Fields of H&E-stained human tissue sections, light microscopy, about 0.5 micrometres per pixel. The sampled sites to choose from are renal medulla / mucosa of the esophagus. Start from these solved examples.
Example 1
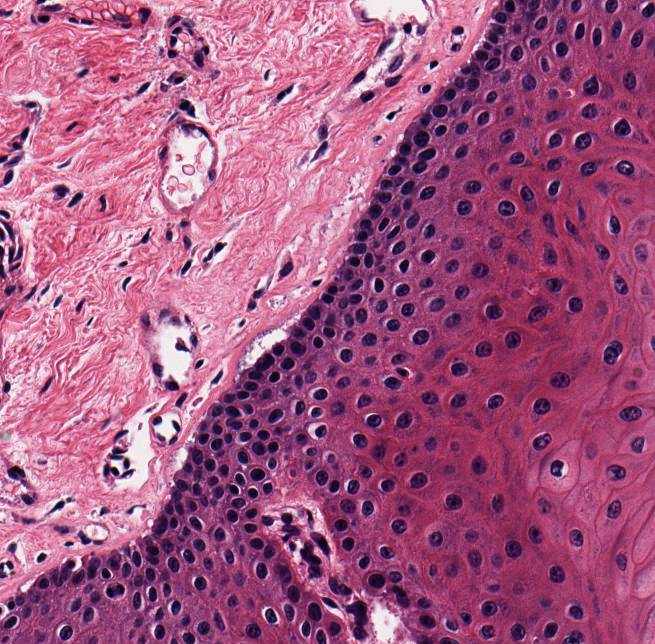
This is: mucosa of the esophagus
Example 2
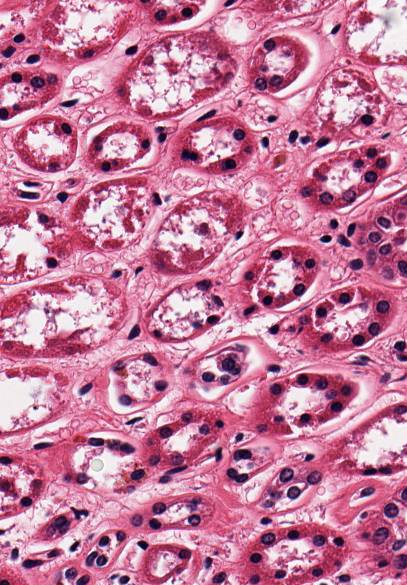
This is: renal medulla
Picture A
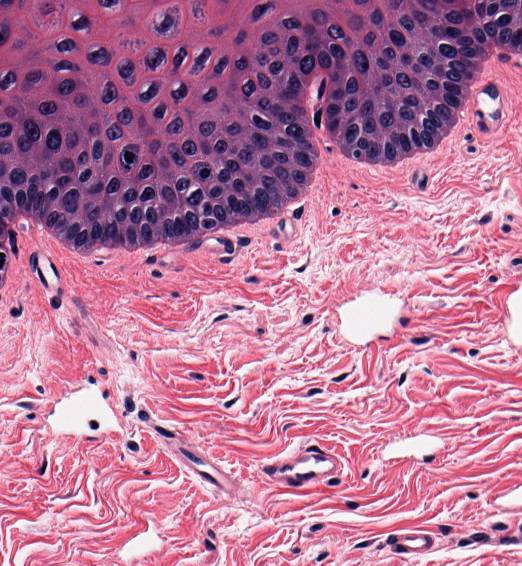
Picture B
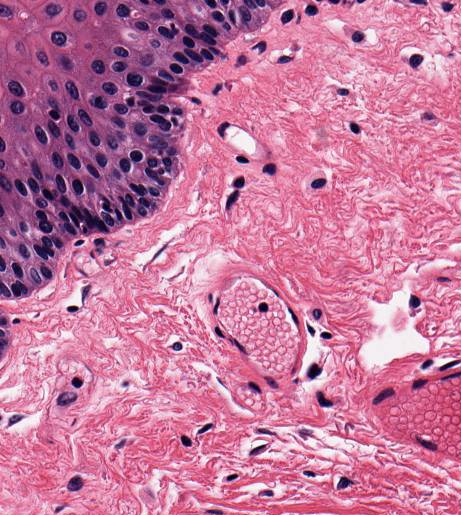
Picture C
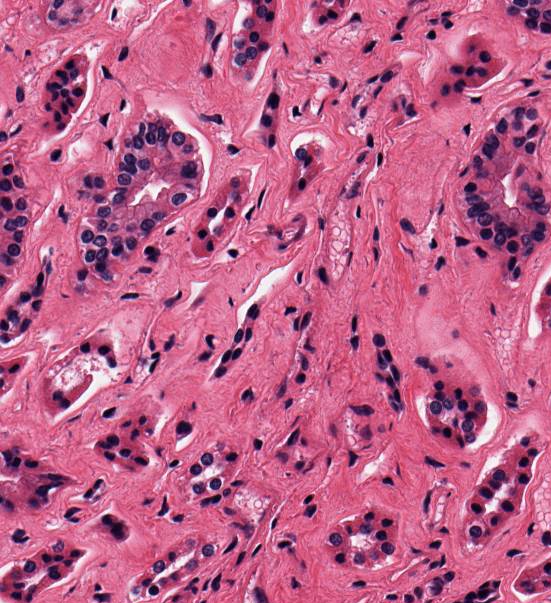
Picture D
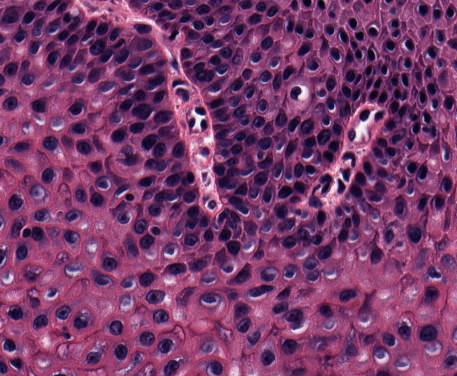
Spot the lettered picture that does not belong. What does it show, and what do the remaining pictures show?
Exception: C, showing renal medulla. Remaining pictures: mucosa of the esophagus.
